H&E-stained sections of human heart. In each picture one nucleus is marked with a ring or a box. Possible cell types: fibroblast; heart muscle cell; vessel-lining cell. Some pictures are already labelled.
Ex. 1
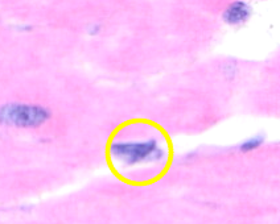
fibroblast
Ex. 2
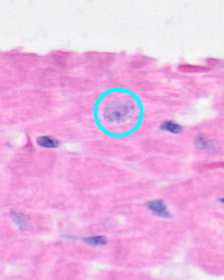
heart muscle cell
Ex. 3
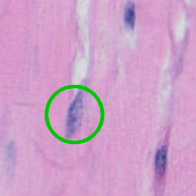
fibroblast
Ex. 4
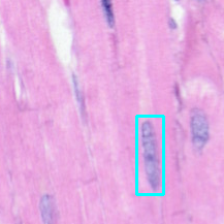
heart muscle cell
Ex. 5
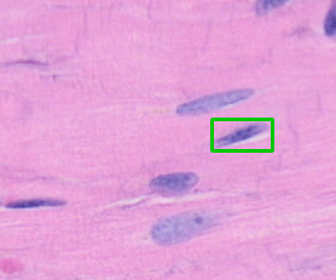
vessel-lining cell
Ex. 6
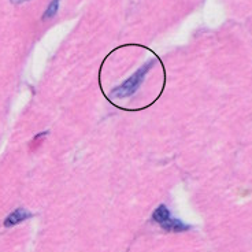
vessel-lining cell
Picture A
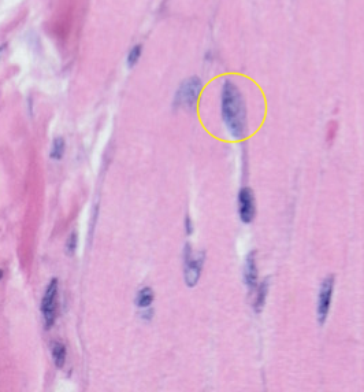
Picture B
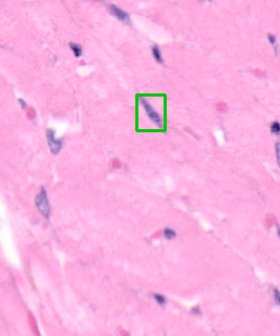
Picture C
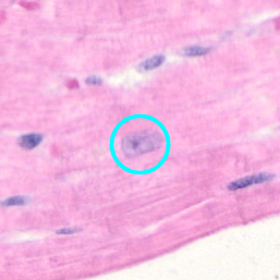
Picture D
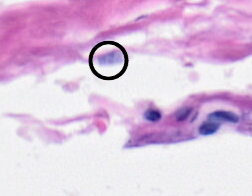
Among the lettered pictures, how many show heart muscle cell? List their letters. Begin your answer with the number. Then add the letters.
1, namely C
